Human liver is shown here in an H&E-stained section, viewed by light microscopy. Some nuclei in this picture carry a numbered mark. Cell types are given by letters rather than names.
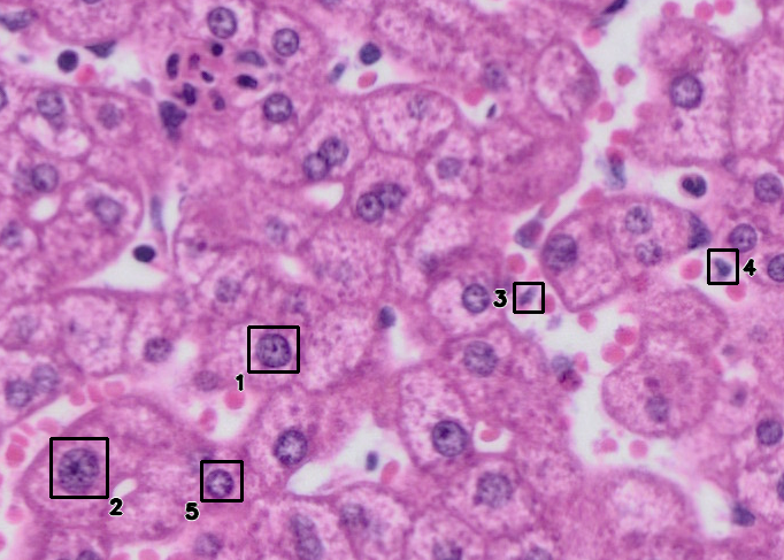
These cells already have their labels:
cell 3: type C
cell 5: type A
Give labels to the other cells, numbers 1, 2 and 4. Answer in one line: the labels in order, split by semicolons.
type A; type A; type C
